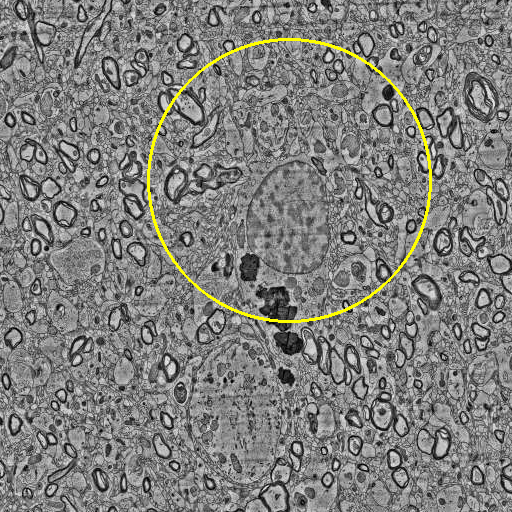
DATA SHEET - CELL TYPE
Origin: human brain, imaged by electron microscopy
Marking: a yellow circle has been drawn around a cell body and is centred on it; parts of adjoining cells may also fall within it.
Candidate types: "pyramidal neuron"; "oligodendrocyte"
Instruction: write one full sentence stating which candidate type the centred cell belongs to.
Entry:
The cell body at the centre of the yellow ring in this micrograph belongs to an oligodendrocyte.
